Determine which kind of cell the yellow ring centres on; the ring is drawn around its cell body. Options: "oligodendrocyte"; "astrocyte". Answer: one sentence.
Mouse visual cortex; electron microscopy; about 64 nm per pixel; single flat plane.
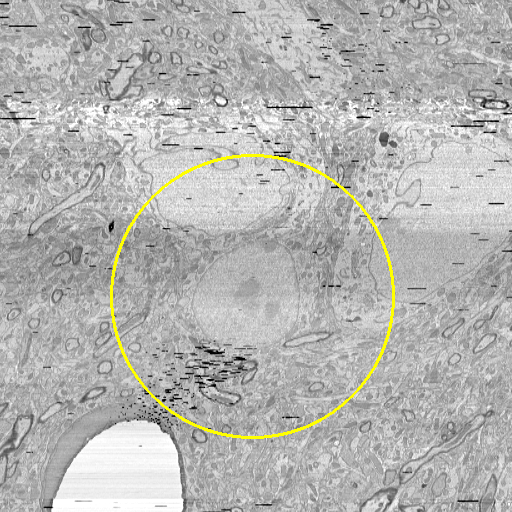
The ring centres on an astrocyte.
